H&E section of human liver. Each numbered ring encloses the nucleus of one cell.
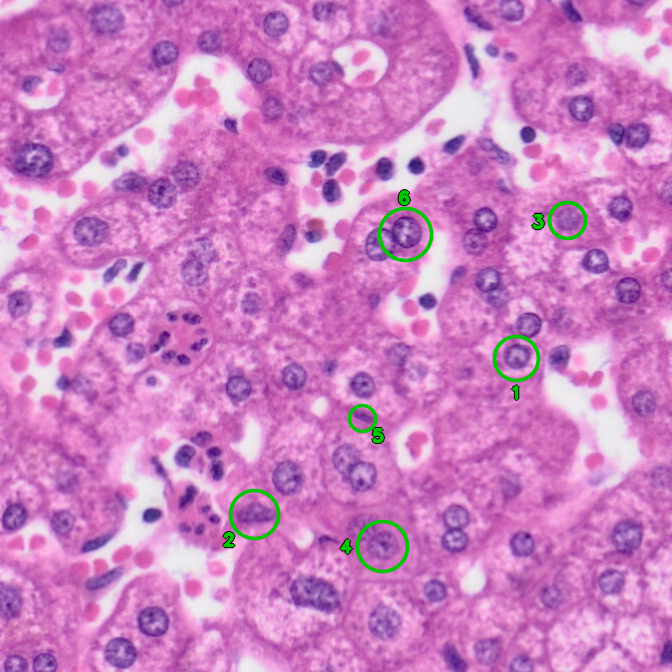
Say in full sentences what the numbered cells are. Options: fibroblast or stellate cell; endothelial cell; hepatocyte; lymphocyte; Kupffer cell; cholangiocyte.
Cell 1 is a hepatocyte, cell 2 is a Kupffer cell, cell 3 is a hepatocyte, cell 4 is a hepatocyte, cell 5 is a fibroblast or stellate cell and cell 6 is a hepatocyte.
